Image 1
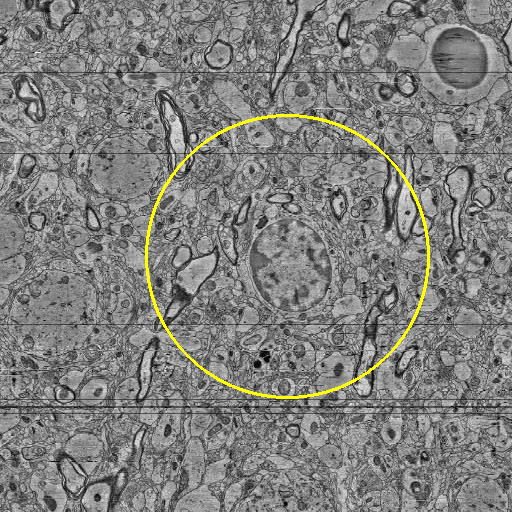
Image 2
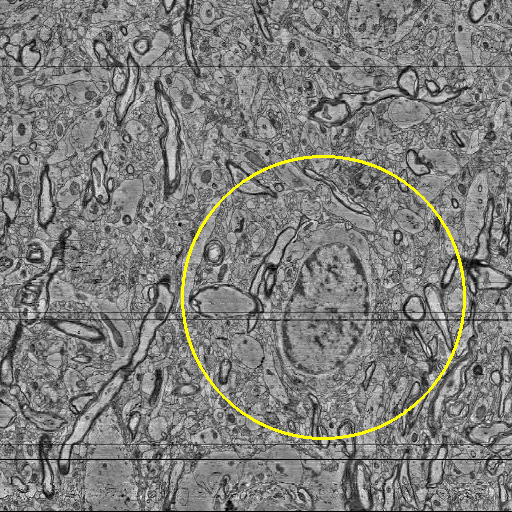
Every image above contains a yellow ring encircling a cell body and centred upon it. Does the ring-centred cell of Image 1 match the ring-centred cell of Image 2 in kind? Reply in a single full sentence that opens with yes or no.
Yes, the cell at the ring's centre in Image 1 is the same kind as that in Image 2.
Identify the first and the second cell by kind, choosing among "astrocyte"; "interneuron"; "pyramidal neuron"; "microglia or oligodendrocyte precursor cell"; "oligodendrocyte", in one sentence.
The cell in the first picture is a microglial cell or oligodendrocyte precursor cell, and so is the one in the second.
